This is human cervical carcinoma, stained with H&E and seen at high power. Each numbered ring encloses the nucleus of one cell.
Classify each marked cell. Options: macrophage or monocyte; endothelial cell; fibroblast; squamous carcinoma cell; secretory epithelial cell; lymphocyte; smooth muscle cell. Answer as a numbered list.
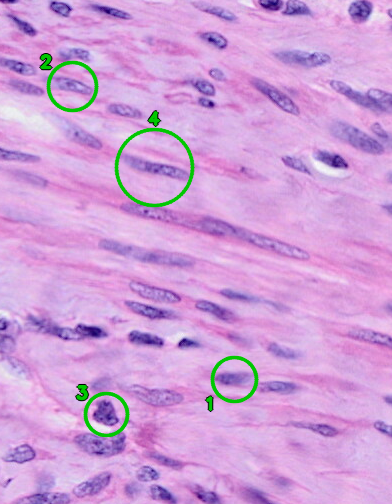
1. smooth muscle cell
2. smooth muscle cell
3. lymphocyte
4. smooth muscle cell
